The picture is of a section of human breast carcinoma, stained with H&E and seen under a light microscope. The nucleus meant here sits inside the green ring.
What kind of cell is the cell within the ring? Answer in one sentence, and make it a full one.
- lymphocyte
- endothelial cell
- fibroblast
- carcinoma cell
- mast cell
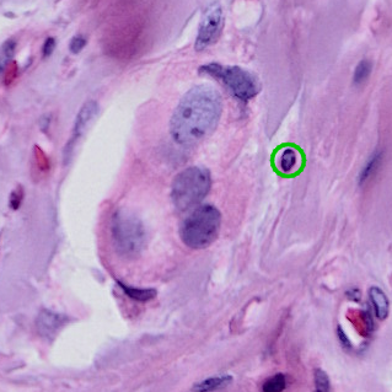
By cell type, the cell within the ring is a mast cell.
